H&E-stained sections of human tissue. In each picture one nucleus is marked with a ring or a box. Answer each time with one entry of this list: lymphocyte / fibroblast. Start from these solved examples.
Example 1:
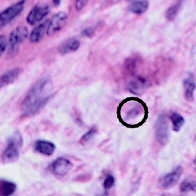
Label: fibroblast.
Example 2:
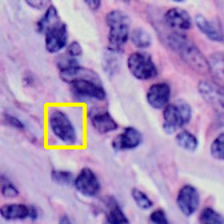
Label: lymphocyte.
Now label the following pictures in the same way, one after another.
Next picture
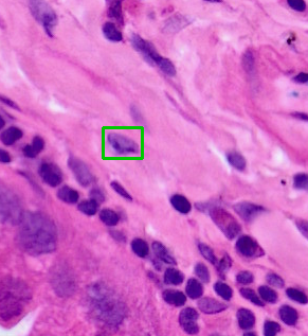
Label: fibroblast.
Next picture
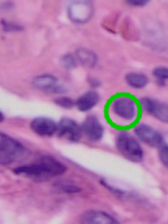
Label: lymphocyte.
